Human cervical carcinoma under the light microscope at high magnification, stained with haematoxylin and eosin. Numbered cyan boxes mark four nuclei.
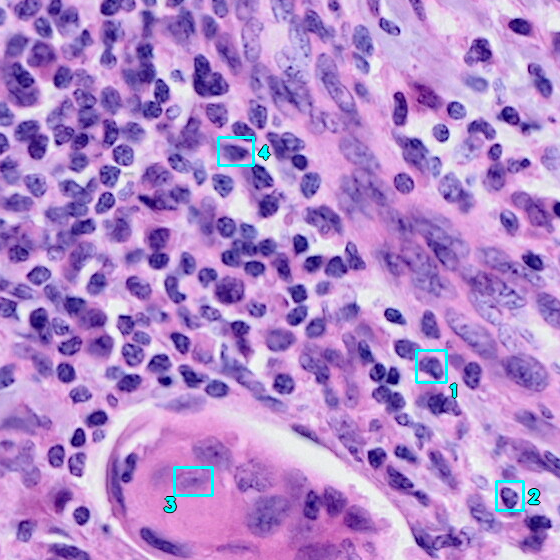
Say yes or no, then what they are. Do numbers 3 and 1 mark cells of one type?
No, cell 3 is a squamous carcinoma cell and cell 1 is a lymphocyte.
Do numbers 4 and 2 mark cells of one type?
Yes, both are lymphocytes.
